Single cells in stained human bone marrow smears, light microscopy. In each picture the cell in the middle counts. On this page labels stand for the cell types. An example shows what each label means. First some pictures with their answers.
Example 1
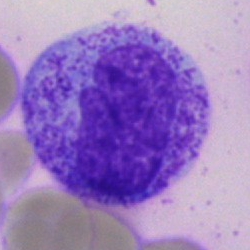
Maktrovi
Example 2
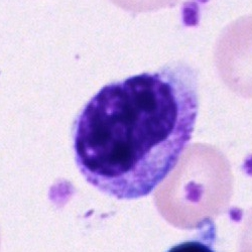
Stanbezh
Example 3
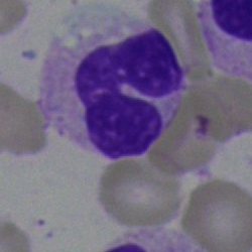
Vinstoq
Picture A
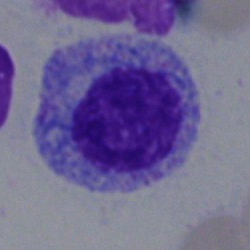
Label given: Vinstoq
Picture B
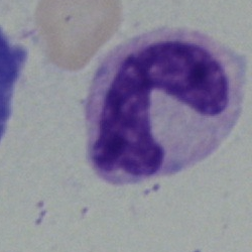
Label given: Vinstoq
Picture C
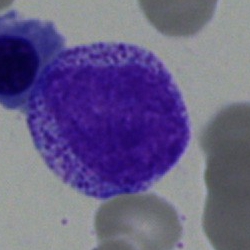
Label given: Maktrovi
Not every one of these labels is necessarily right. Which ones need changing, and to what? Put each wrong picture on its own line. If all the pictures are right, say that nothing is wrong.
Wrong: A (Vinstoq); correct: Maktrovi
